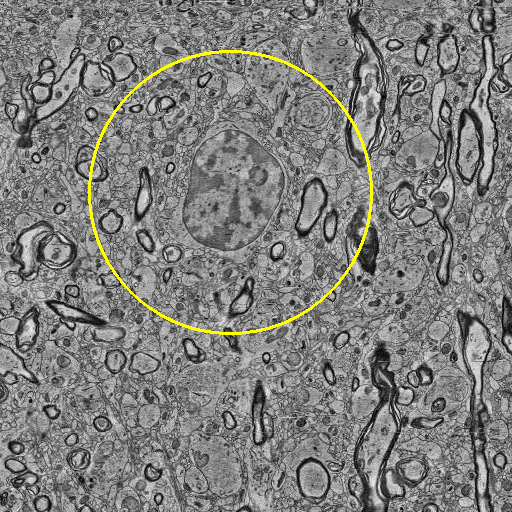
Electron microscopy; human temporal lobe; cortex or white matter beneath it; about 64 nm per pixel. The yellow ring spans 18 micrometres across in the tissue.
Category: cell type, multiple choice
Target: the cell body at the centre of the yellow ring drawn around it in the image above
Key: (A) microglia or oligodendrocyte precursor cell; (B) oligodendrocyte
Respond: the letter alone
A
